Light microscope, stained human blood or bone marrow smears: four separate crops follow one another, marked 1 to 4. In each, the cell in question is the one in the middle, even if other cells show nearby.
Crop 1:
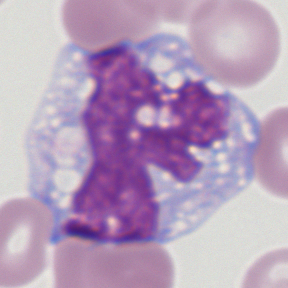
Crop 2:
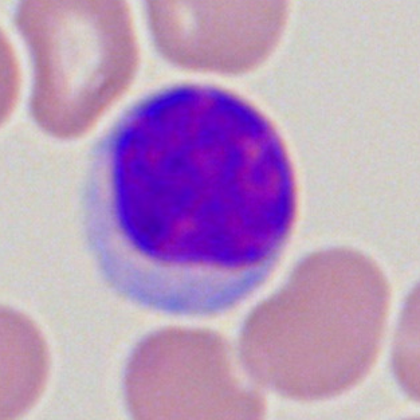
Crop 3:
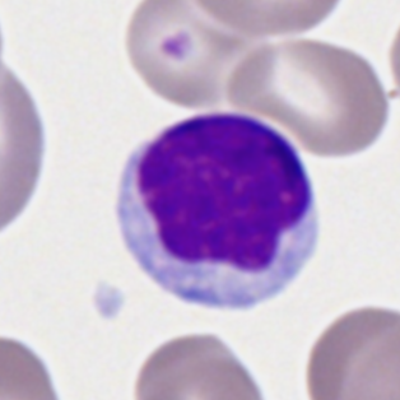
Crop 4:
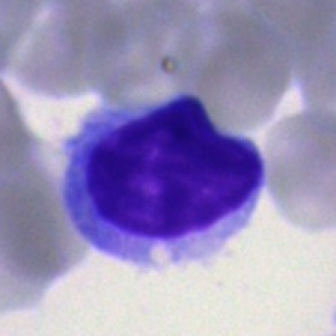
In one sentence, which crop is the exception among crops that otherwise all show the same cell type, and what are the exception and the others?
Crop 1 is a monocyte, while the rest of the set consists of lymphocytes.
